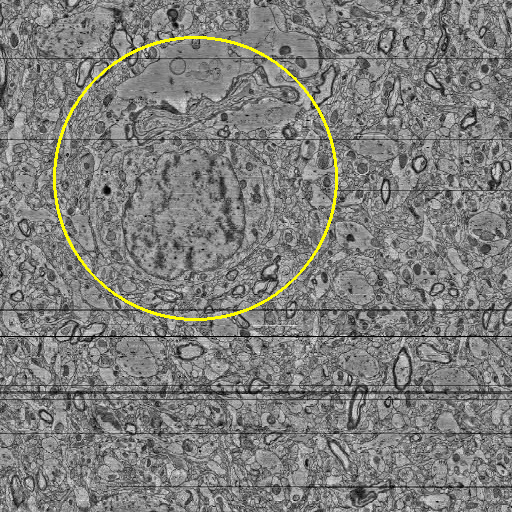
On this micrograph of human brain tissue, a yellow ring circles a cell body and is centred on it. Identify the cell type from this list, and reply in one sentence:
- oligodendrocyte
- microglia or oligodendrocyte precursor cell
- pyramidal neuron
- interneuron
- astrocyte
The cell at the centre is an interneuron.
